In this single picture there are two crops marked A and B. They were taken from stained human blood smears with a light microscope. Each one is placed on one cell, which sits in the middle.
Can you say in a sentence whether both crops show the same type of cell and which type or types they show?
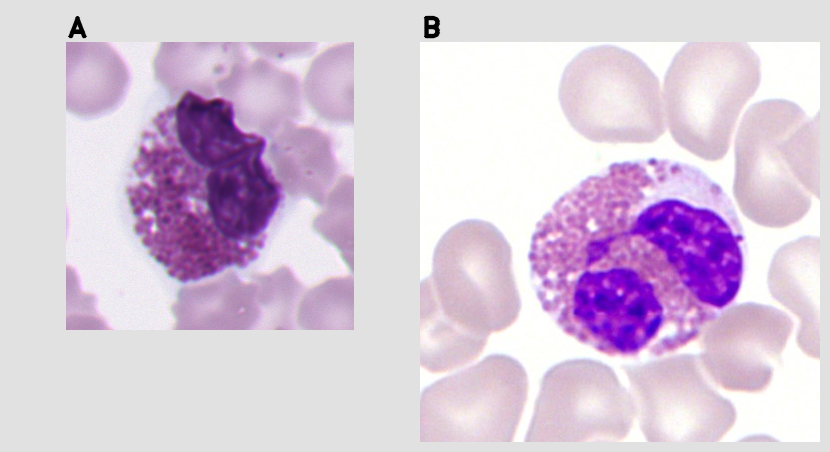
Yes, the cells of interest in both crops are eosinophils.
